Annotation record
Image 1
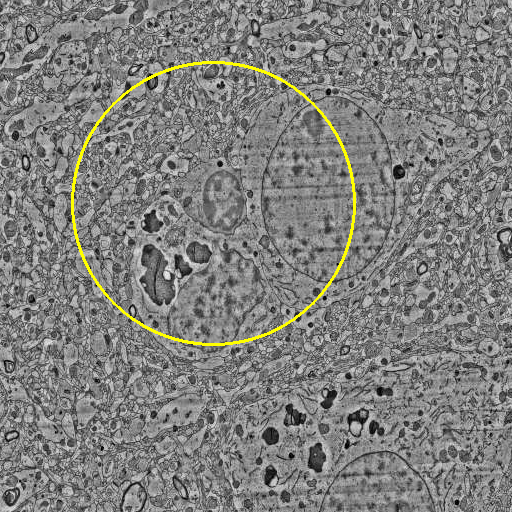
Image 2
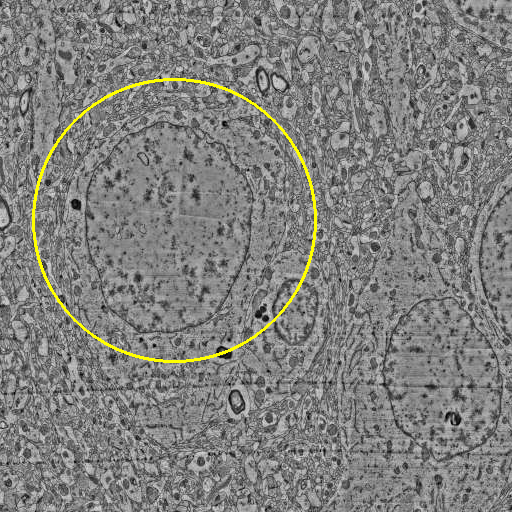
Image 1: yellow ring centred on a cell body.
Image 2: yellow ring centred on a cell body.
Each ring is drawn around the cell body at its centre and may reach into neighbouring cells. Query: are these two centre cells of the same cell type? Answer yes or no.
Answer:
no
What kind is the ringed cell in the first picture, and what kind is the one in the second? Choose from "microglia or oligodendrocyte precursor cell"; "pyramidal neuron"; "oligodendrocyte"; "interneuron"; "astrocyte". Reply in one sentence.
The first cell is an oligodendrocyte; the second is a pyramidal neuron.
